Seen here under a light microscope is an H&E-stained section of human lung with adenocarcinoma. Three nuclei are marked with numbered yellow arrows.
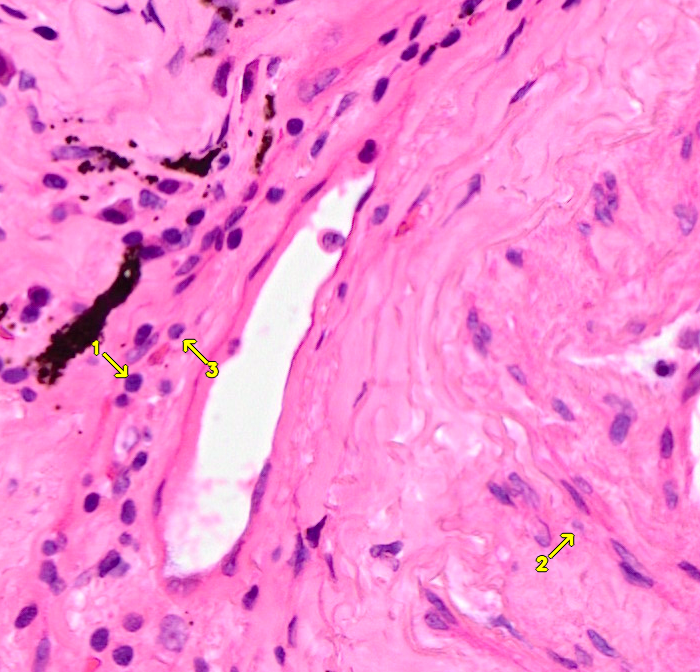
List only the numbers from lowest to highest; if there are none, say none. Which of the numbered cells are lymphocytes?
1, 3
